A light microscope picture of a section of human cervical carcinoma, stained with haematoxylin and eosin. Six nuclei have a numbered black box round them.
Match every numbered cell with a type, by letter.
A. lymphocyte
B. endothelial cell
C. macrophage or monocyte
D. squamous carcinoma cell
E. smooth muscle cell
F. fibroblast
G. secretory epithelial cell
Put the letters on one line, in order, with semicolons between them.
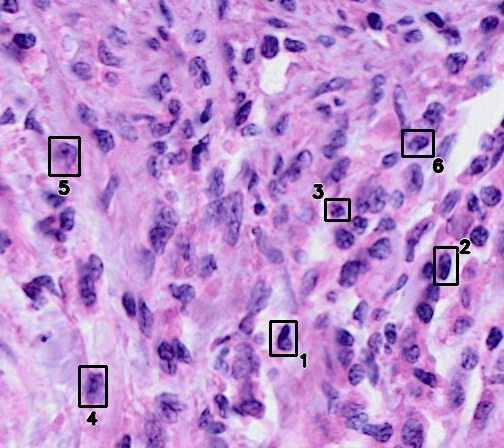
A; A; A; C; C; A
